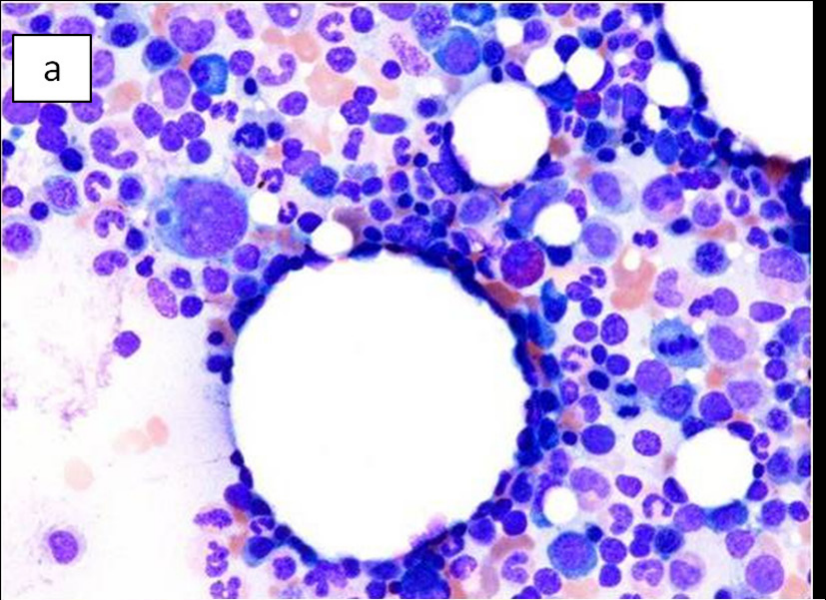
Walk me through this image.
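This bone marrow smear shows a crowded mix of blood-forming cells of the erythroid, myeloid and megakaryocyte lines around clear round fat spaces. Many small cells have dense, dark, round nuclei, while others have segmented or band-shaped nuclei with pale pinkish cytoplasm, typical of maturing granulocytes. At left a large cell stands out, with a big round nucleus and abundant bluish cytoplasm. Pale pink red cells are scattered between the nucleated cells.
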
